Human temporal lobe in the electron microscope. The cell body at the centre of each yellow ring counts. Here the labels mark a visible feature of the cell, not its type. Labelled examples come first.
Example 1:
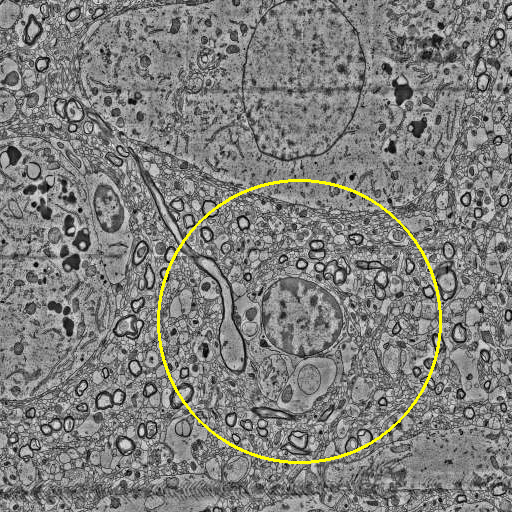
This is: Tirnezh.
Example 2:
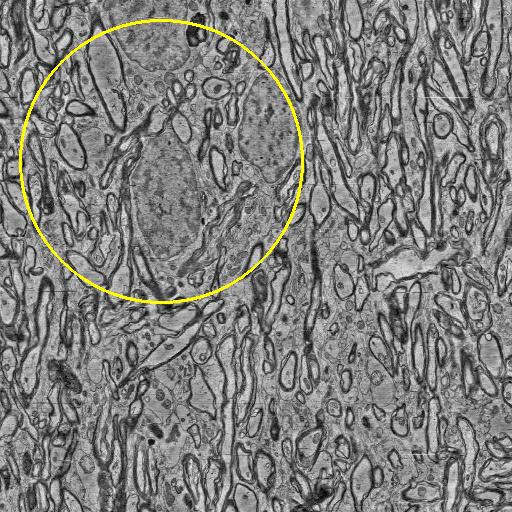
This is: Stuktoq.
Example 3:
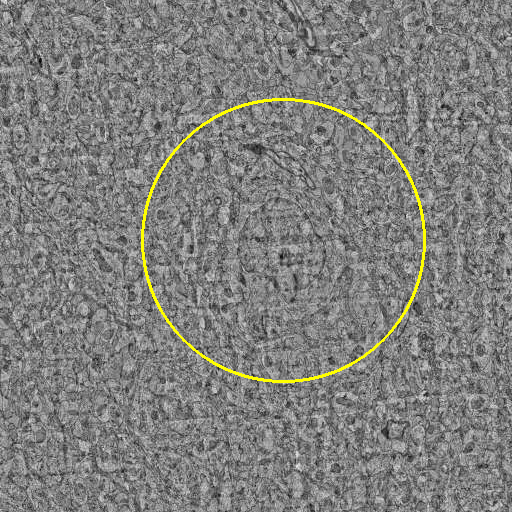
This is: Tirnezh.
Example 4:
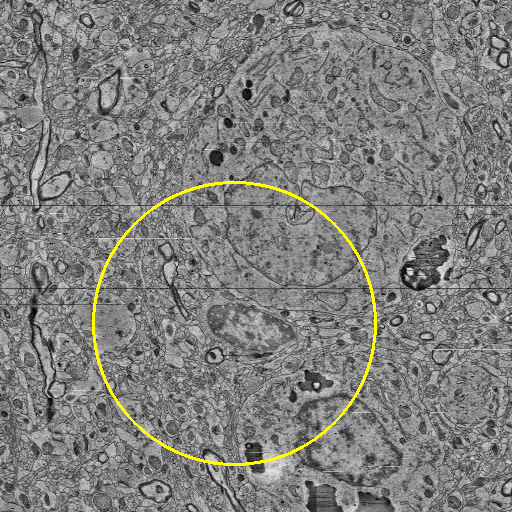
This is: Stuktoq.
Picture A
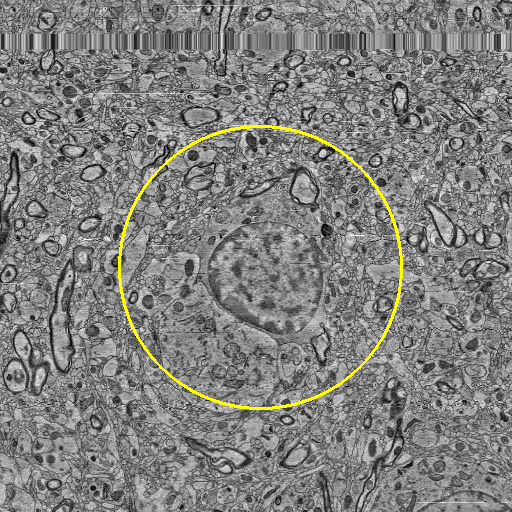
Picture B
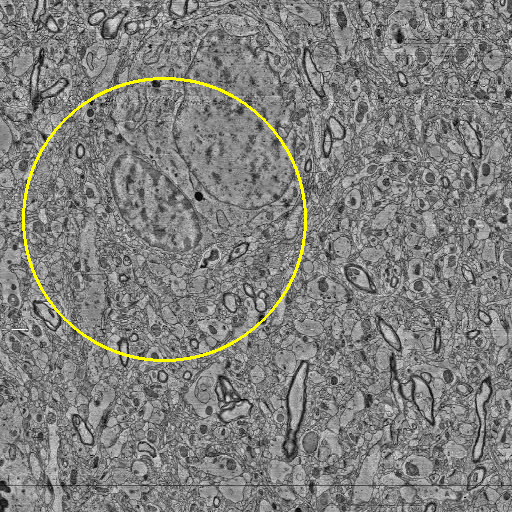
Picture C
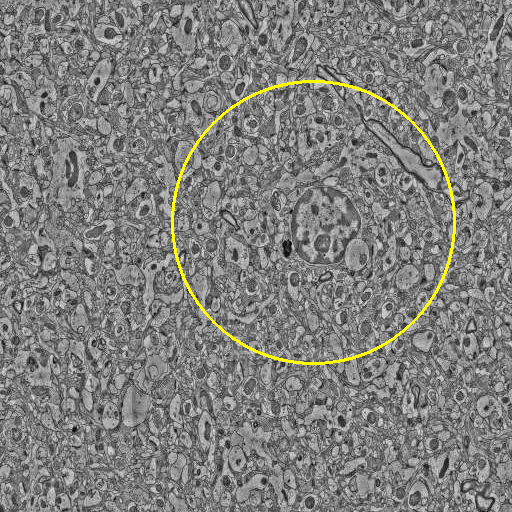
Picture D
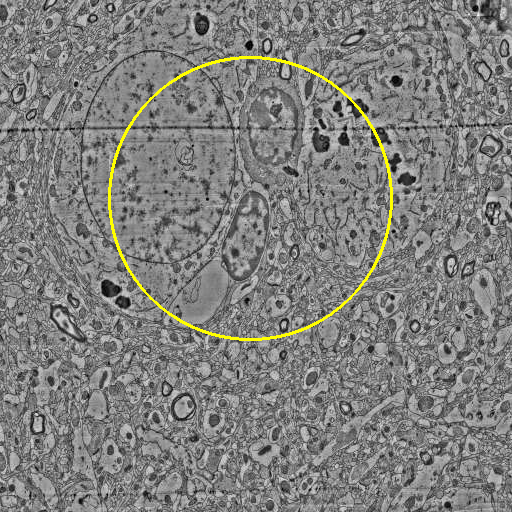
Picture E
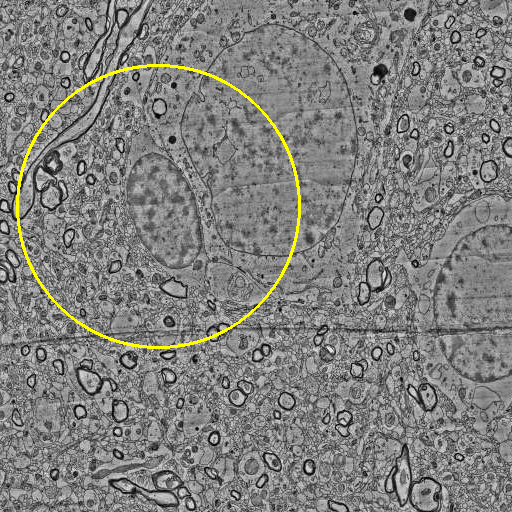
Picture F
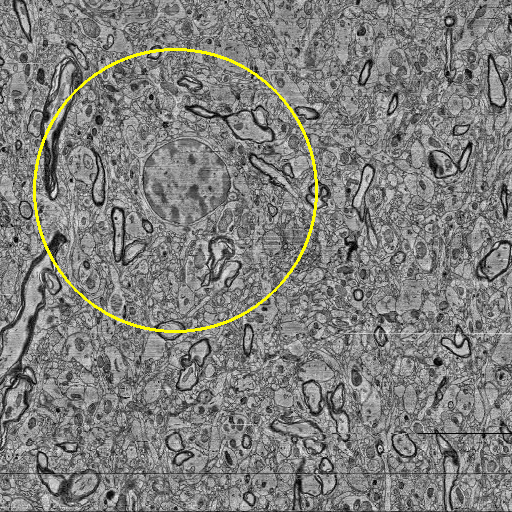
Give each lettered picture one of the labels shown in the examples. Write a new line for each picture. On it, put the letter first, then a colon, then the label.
A: Tirnezh.
B: Stuktoq.
C: Tirnezh.
D: Stuktoq.
E: Stuktoq.
F: Tirnezh.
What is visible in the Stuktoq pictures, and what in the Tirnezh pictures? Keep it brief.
In Stuktoq: clearly elongated nuclei. In Tirnezh: round or nearly round nuclei.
